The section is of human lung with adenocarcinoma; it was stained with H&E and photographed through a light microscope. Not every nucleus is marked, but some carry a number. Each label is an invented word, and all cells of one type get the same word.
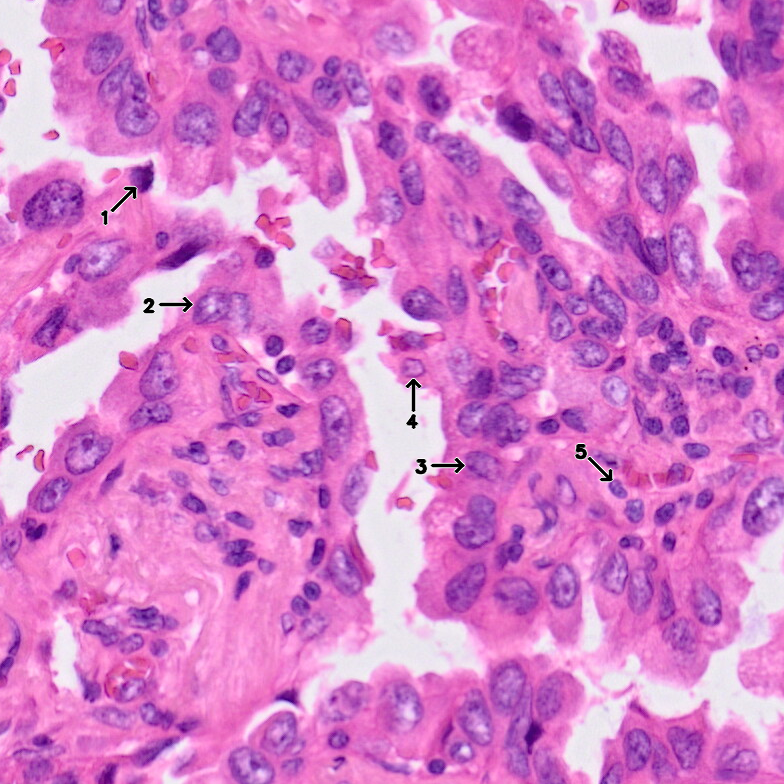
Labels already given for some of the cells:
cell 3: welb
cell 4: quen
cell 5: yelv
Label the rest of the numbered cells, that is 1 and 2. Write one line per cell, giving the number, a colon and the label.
1: welb
2: welb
